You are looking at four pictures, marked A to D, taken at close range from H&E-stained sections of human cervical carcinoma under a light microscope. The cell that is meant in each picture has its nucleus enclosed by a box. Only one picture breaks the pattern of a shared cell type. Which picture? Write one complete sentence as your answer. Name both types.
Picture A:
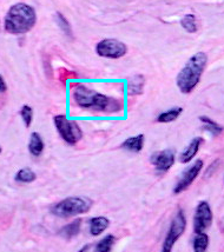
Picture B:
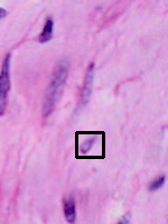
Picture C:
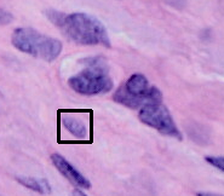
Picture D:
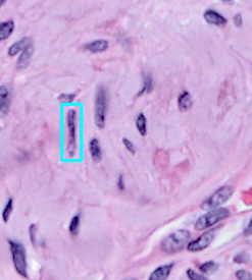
Unlike the rest, which show fibroblasts, picture A shows an endothelial cell.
